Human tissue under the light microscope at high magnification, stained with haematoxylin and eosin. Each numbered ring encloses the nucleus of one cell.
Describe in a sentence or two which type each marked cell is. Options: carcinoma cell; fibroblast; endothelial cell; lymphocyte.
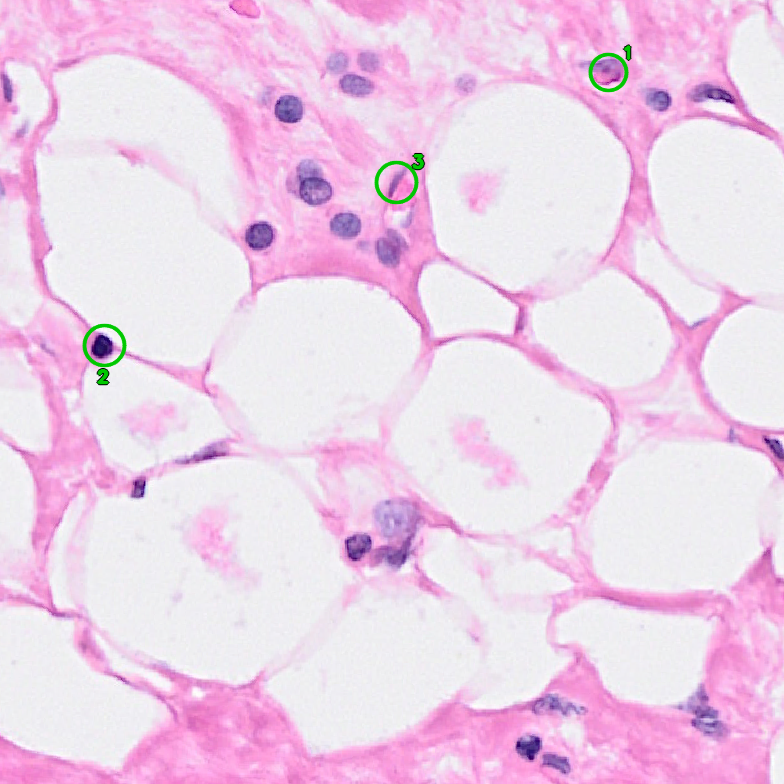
Cell 1 is an endothelial cell, cell 2 is a lymphocyte and cell 3 is an endothelial cell.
